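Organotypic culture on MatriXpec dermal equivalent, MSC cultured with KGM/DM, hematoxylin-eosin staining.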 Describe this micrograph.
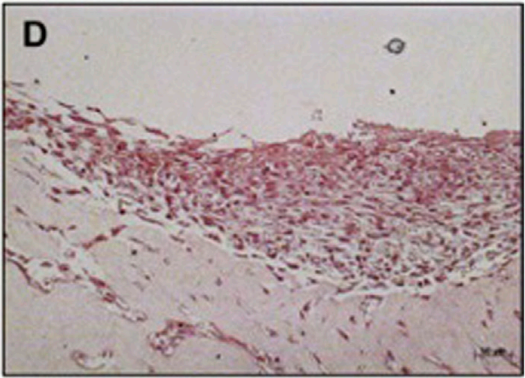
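A pale pink matrix carries a thick, cell-rich layer at its upper surface. The cells in this layer are crowded and mostly spindle-shaped, with elongated, dark nuclei and pink cytoplasm. No layered, flattened surface sheet like an epidermis is seen on top.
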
